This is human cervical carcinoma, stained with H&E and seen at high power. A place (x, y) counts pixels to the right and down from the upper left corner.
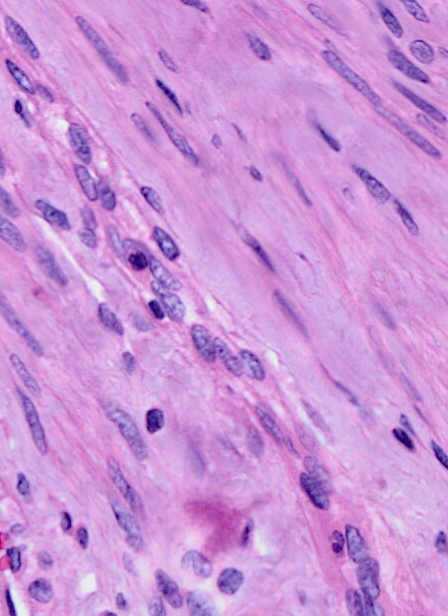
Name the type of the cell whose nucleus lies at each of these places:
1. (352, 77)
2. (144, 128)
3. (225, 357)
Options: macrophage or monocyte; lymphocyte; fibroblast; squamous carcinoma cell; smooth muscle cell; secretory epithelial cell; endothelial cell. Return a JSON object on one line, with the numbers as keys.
{"1": "smooth muscle cell", "2": "fibroblast", "3": "endothelial cell"}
